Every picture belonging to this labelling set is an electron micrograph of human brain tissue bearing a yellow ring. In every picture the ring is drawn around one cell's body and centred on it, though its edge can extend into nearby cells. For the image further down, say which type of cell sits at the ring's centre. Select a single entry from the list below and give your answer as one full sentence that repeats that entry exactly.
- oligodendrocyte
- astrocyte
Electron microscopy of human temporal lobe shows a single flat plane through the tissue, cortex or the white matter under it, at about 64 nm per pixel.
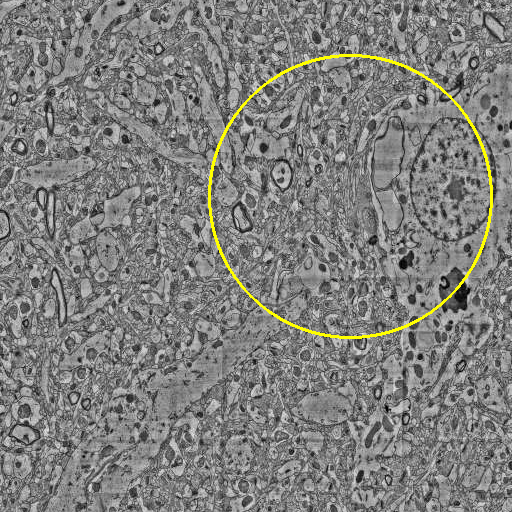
In the picture, an oligodendrocyte is the cell at the centre of the yellow ring.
